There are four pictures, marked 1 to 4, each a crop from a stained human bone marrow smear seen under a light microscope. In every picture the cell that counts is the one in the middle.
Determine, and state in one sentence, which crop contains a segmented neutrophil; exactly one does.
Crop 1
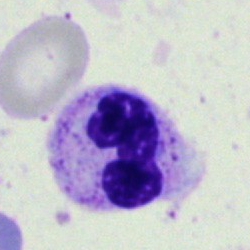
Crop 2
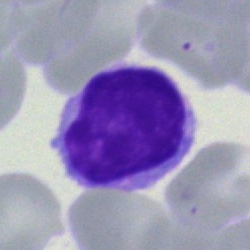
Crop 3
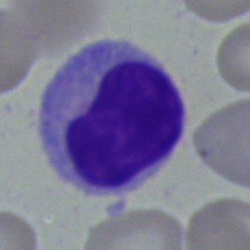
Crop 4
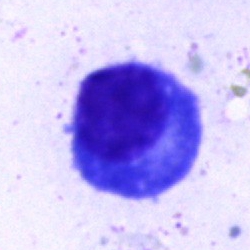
In the set of crops, crop 1 is the one that contains a segmented neutrophil.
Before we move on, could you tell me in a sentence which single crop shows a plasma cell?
The one showing a plasma cell is the crop labelled 4.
